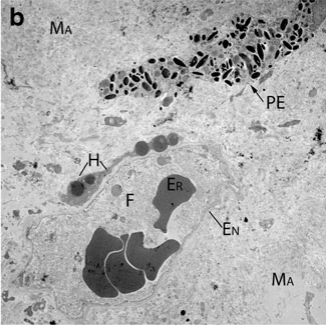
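A capillary cut across lies within a finely textured extracellular matrix, its endothelial lining reduced to a thin, interrupted layer. Dense, dark erythrocytes of irregular outline remain inside the lumen, which is otherwise filled with fine filamentous material. A cell with several round dense inclusions lies against the vessel wall. Above, a cell process packed with many dark oval and elongated pigment granules crosses the matrix.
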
